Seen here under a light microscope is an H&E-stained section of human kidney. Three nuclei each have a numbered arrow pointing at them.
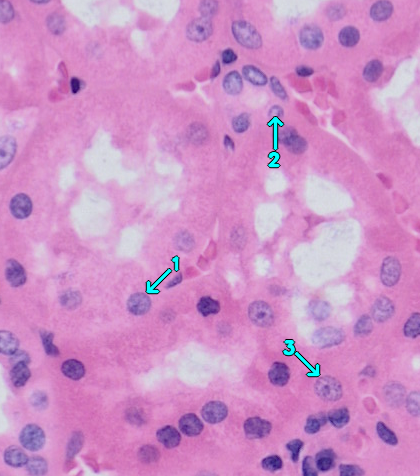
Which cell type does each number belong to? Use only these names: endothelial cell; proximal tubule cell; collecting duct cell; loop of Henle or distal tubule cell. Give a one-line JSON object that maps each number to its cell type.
{"1": "proximal tubule cell", "2": "collecting duct cell", "3": "proximal tubule cell"}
